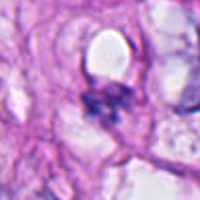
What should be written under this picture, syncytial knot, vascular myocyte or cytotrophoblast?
vascular myocyte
